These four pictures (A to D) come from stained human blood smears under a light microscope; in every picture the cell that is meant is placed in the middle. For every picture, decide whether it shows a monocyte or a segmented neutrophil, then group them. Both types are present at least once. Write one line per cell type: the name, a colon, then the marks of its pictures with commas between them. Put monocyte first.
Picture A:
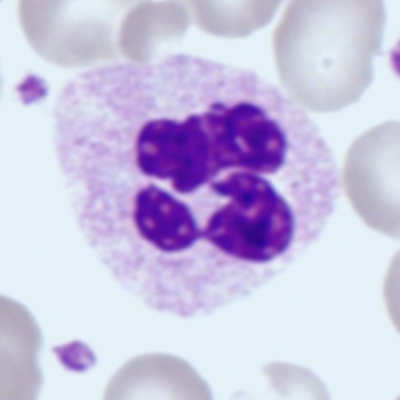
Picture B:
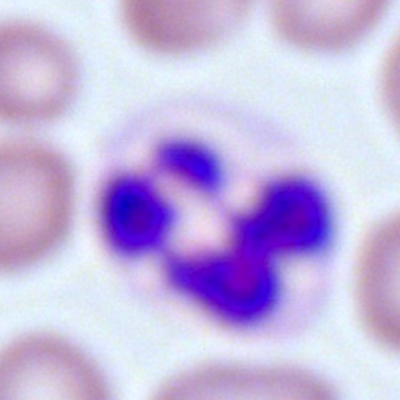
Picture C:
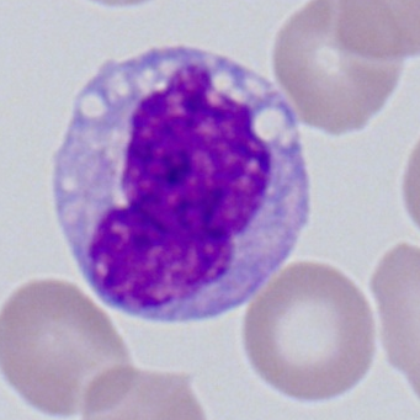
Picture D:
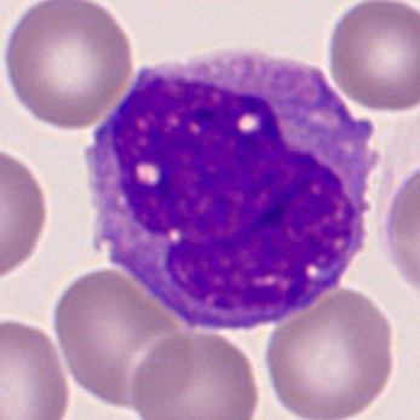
monocyte: C, D
segmented neutrophil: A, B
